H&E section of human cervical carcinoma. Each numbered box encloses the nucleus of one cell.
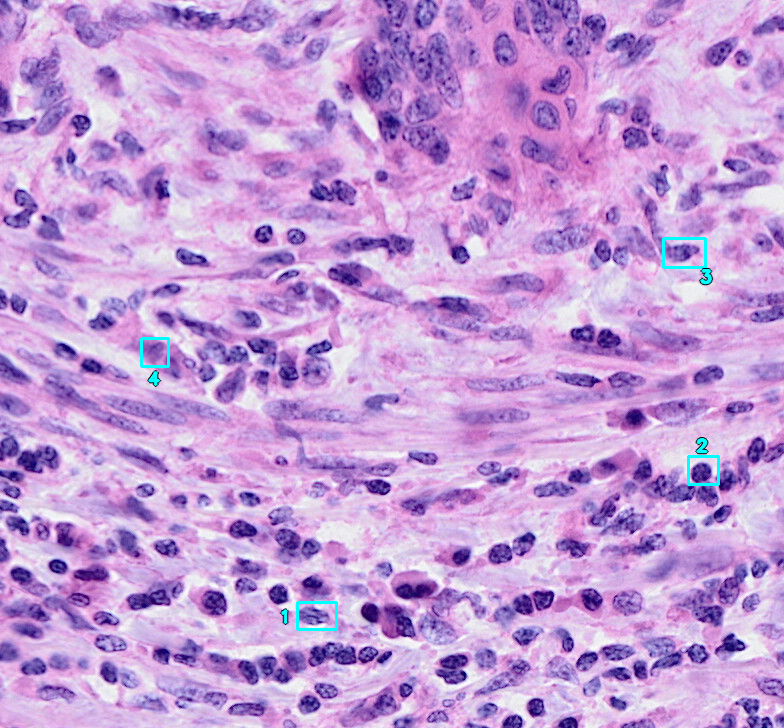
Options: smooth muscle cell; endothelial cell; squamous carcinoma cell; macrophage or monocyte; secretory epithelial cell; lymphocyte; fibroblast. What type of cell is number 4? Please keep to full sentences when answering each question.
Looking at the numbered marks, cell 4 is a macrophage or monocyte.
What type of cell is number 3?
Cell 3, among those numbered, is a lymphocyte.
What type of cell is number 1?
It is as a lymphocyte that the cell numbered 1 is identified.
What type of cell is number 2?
Marked with the number 2, this cell is a lymphocyte.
